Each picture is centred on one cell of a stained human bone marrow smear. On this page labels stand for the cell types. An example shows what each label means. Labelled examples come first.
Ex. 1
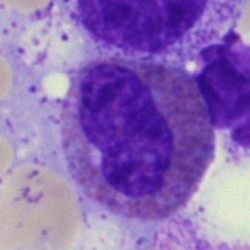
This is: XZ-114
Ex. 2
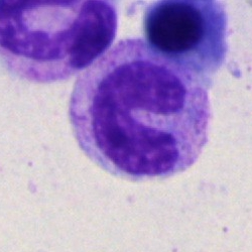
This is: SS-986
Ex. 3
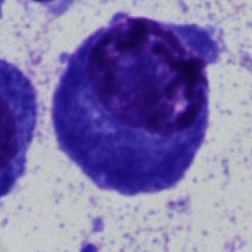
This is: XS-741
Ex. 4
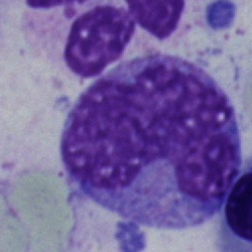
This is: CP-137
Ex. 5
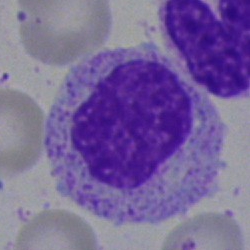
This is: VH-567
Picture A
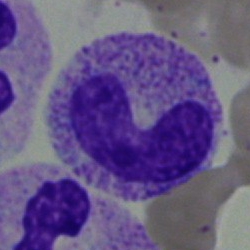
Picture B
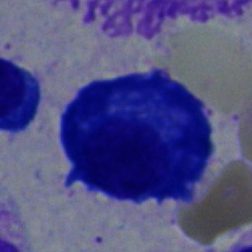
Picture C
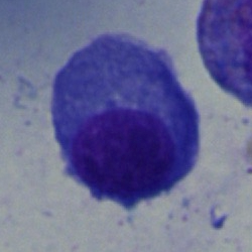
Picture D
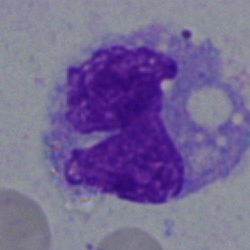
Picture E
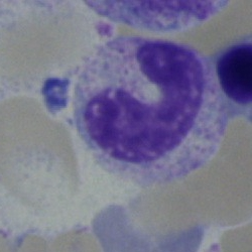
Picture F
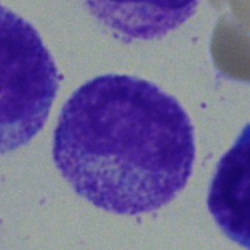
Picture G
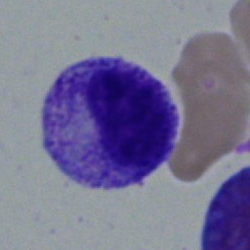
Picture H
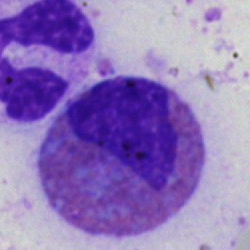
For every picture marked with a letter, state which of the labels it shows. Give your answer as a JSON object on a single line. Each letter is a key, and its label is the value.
{"A": "SS-986", "B": "XS-741", "C": "XS-741", "D": "CP-137", "E": "SS-986", "F": "VH-567", "G": "VH-567", "H": "XZ-114"}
